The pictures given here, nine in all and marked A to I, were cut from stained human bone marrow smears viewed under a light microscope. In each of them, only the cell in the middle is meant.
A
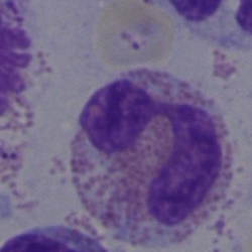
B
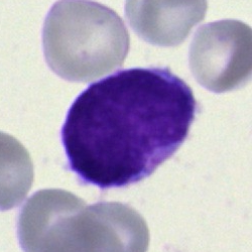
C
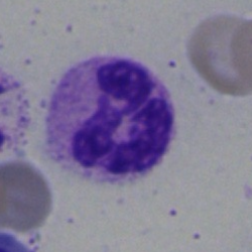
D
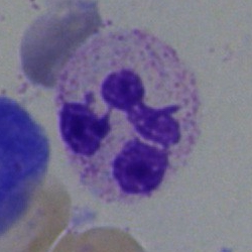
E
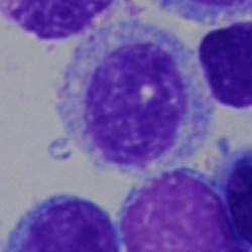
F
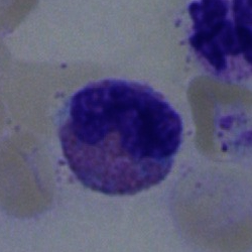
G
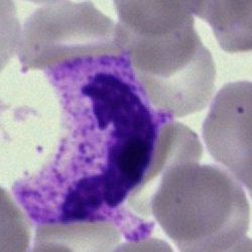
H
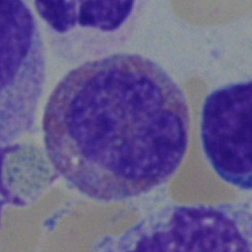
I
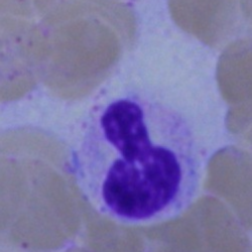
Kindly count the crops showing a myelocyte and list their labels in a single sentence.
Crop E is the one that shows a myelocyte.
